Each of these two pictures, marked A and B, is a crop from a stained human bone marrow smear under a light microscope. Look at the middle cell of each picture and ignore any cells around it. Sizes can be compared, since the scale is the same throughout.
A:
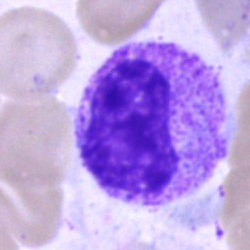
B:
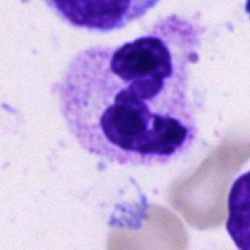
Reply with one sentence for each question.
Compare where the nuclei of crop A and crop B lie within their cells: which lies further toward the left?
In crop A the nucleus is shifted more toward the left.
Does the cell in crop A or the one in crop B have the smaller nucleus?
Crop B shows the smaller nucleus, since that in crop A covers about 1.5 times as much area.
